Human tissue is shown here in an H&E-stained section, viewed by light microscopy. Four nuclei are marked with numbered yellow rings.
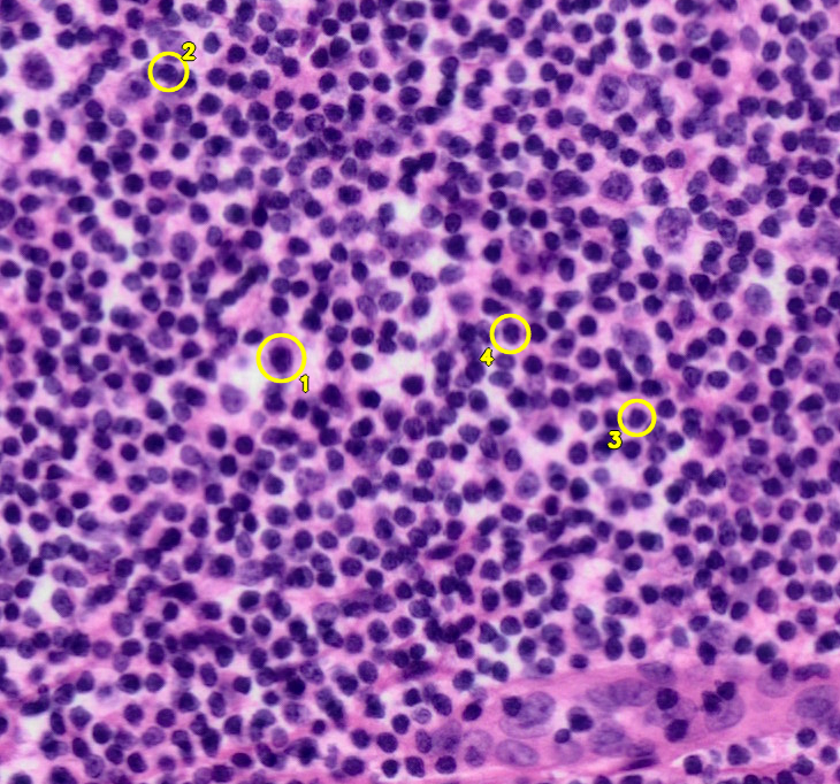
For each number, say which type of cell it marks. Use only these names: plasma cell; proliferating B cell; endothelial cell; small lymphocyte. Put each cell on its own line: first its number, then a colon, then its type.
1: proliferating B cell
2: small lymphocyte
3: small lymphocyte
4: small lymphocyte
